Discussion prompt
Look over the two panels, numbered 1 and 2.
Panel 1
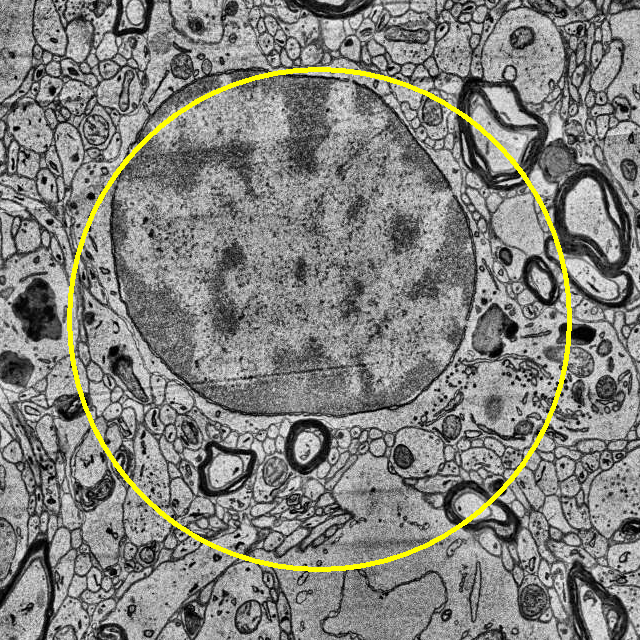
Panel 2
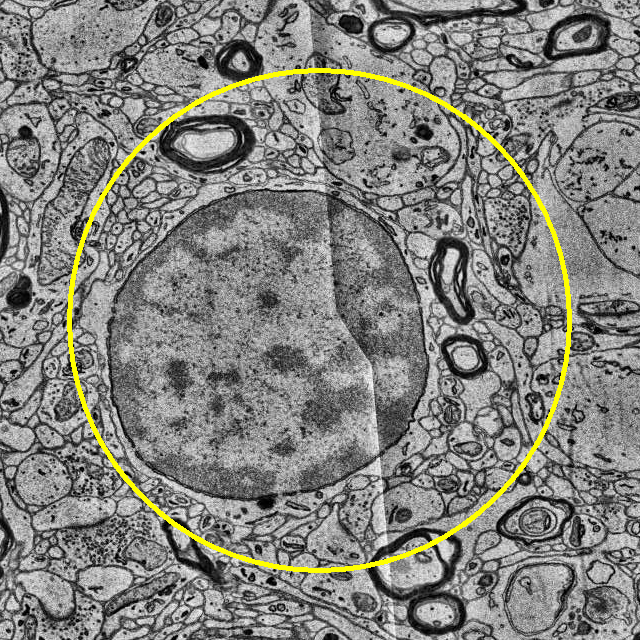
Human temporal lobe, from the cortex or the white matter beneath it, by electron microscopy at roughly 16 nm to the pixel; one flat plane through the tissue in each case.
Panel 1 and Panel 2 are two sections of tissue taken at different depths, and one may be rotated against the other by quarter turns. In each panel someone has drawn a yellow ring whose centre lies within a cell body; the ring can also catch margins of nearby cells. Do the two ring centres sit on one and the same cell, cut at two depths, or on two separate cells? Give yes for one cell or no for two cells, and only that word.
yes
